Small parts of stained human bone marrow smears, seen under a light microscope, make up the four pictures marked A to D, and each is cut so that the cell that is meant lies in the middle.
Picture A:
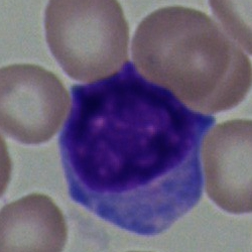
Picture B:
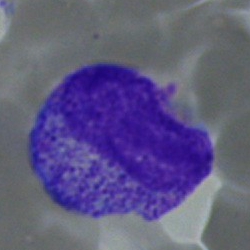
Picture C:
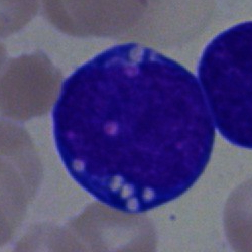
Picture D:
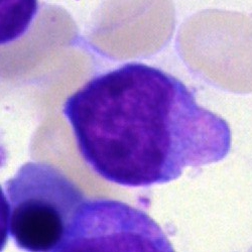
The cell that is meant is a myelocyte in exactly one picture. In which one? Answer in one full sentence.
The myelocyte is the one in picture B.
